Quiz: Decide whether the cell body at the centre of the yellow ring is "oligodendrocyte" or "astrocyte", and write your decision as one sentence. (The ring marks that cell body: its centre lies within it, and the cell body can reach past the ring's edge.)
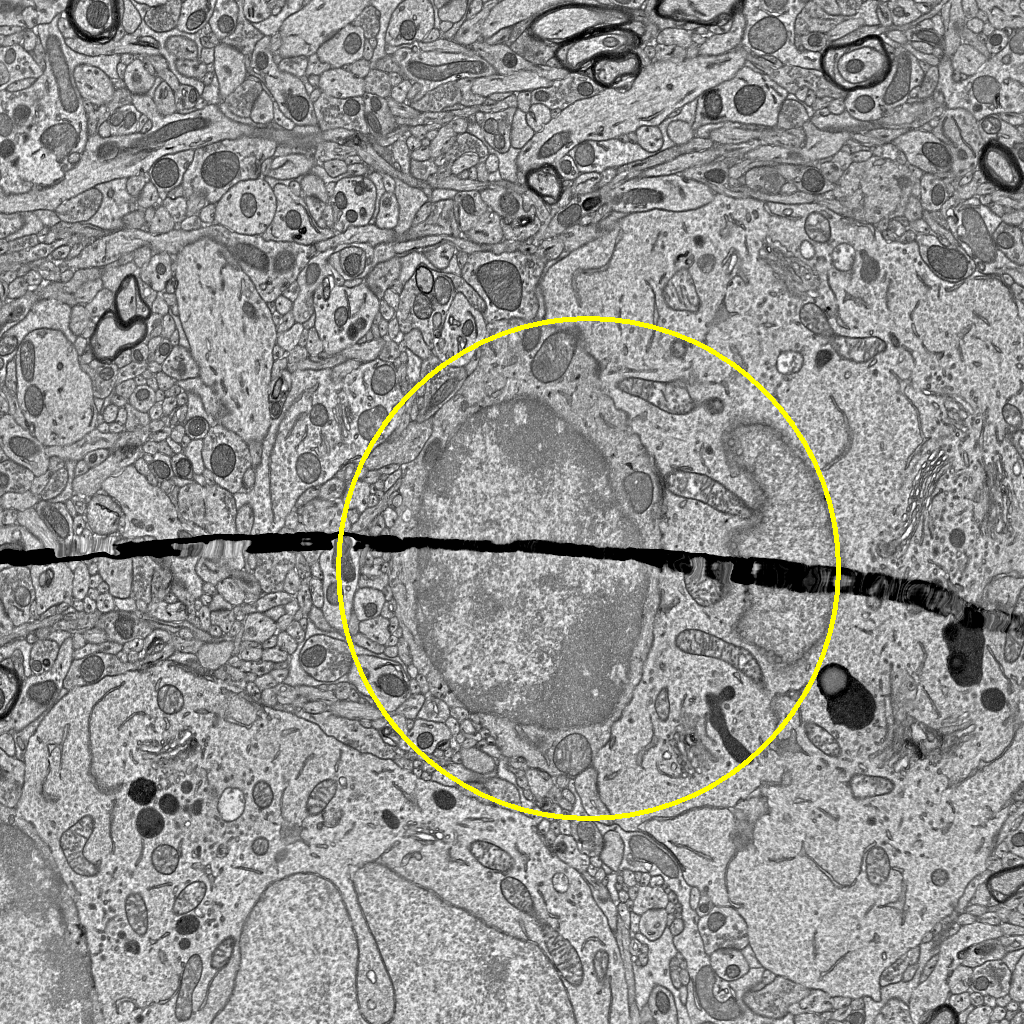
The cell holding the ring's centre is an oligodendrocyte.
